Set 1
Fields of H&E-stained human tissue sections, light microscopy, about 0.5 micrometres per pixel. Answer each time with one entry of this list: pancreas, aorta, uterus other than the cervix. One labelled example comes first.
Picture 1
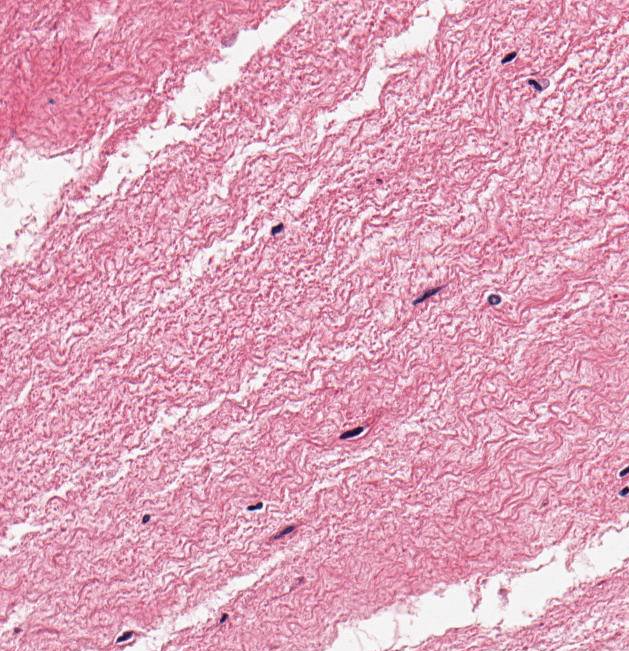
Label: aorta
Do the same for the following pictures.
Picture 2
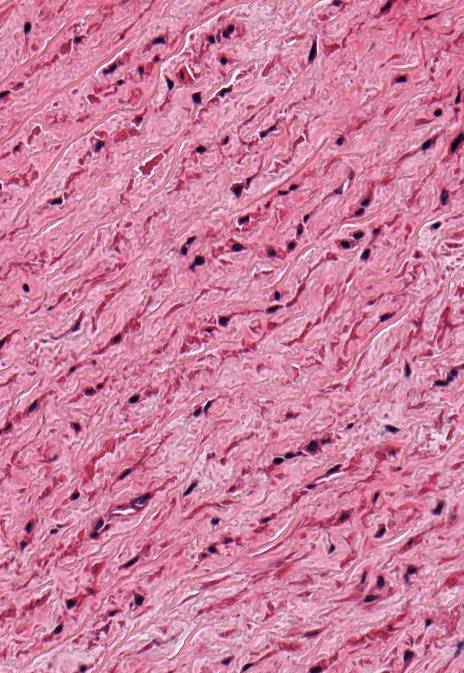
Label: aorta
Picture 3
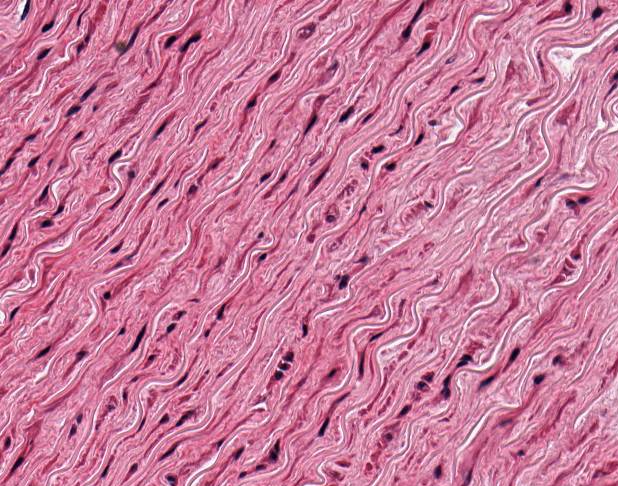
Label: aorta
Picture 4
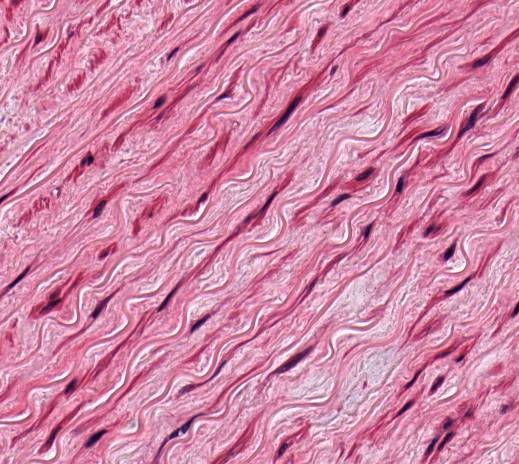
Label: aorta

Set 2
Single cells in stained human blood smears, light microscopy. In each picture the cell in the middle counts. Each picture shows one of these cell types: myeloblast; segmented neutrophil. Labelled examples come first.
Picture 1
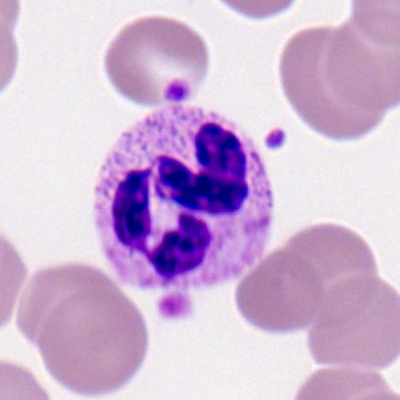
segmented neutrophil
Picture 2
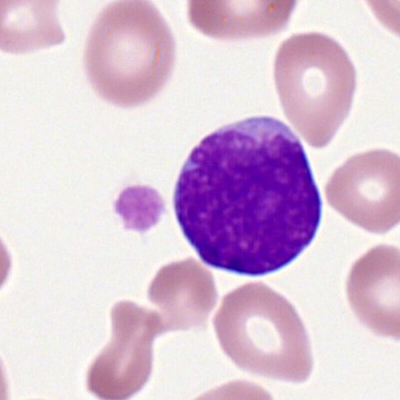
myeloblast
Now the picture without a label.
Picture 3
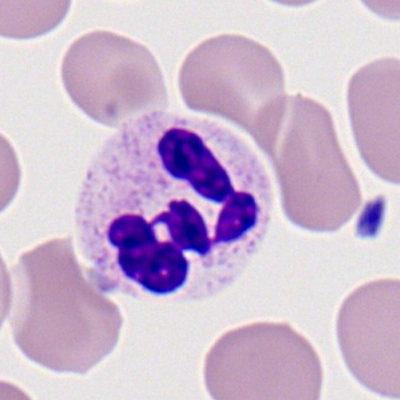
segmented neutrophil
